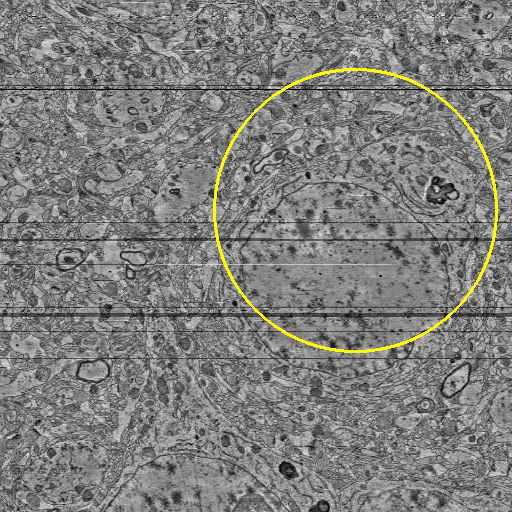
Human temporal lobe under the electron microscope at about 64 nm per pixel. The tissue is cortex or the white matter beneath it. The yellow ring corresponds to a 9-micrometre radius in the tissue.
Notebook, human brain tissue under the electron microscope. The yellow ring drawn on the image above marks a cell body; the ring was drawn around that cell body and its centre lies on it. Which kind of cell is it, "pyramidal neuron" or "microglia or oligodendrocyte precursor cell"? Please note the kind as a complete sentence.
The marked cell body is that of a pyramidal neuron.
